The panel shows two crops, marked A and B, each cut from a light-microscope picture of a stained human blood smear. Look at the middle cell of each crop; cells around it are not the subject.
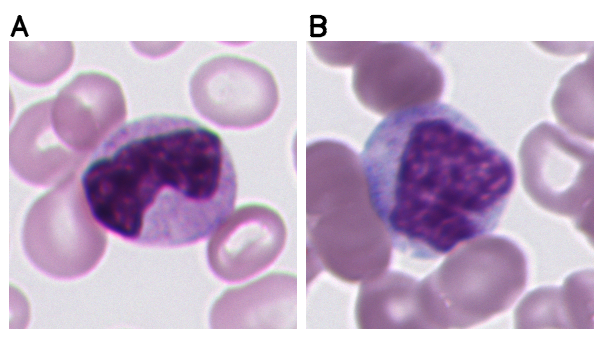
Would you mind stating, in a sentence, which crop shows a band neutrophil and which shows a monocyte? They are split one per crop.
Crop B shows a monocyte, and crop A shows a band neutrophil.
